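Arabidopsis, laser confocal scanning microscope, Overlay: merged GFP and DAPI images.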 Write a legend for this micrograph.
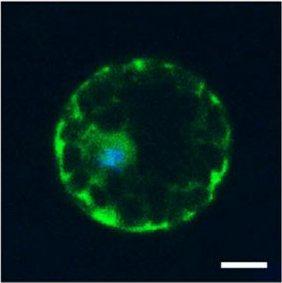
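Single round mesophyll protoplast with green fluorescence spread through its thin peripheral cytoplasm. The green fills the spaces between rounded dark profiles along the cell edge, giving a netted ring. A denser diffuse green patch lies toward the centre of the cell. A small compact blue nucleus sits within this green patch. The large central region of the cell is dark.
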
